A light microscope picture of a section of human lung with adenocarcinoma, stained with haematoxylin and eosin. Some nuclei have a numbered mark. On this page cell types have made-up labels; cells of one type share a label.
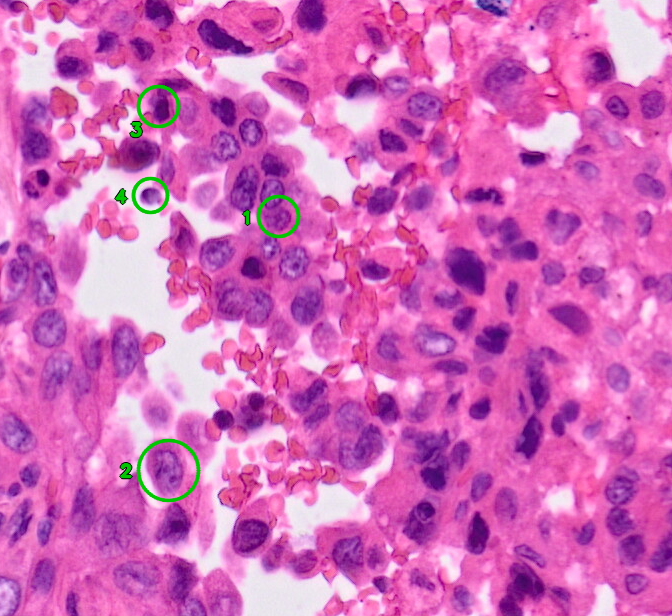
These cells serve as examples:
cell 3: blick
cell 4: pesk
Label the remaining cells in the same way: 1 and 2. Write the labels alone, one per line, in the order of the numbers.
blick
blick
